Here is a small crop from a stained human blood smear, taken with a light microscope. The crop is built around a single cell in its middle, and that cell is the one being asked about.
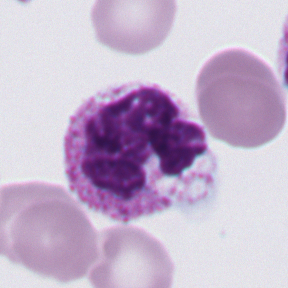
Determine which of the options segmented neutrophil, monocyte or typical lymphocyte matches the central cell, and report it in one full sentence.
The cell of interest, located centrally, is a segmented neutrophil.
